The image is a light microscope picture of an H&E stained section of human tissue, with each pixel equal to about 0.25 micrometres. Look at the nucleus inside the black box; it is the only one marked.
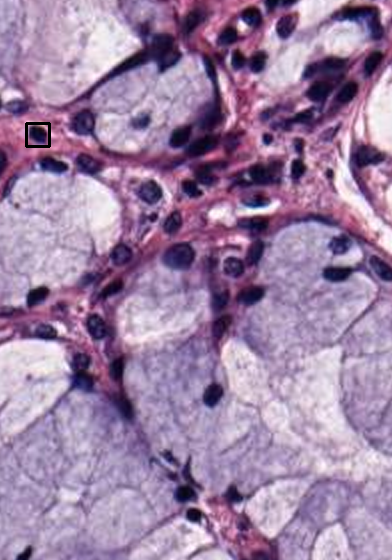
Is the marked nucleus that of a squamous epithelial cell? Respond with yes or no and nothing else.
no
